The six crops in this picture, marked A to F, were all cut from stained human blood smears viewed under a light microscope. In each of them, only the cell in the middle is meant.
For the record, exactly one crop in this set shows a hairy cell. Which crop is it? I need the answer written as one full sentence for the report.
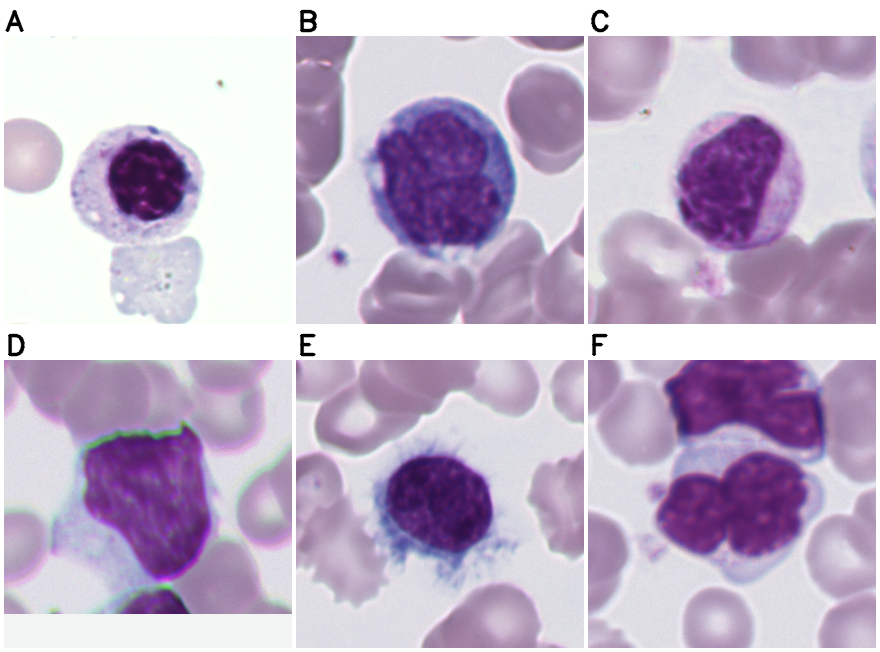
The crop in which a hairy cell is shown is crop E.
